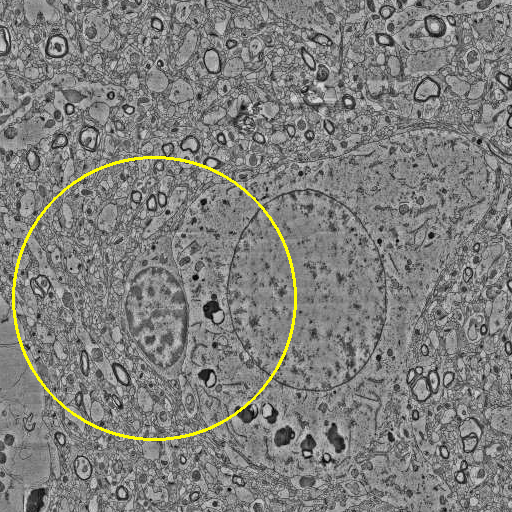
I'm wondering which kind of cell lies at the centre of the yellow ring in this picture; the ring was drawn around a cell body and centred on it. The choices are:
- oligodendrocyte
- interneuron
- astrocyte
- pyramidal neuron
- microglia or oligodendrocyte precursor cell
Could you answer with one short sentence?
At the centre of the ring lies an oligodendrocyte.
